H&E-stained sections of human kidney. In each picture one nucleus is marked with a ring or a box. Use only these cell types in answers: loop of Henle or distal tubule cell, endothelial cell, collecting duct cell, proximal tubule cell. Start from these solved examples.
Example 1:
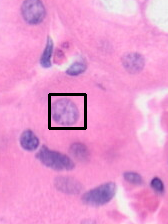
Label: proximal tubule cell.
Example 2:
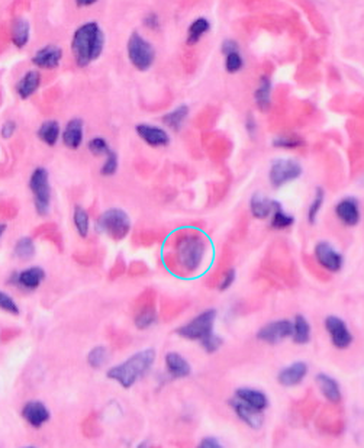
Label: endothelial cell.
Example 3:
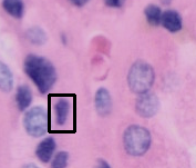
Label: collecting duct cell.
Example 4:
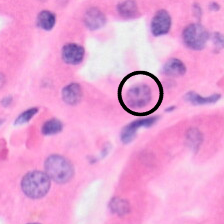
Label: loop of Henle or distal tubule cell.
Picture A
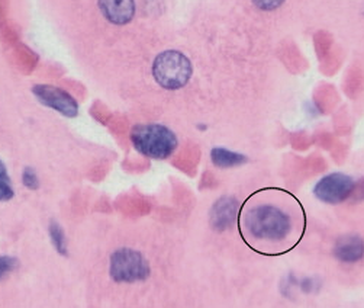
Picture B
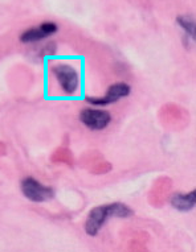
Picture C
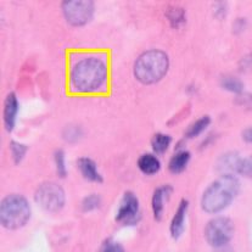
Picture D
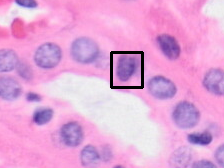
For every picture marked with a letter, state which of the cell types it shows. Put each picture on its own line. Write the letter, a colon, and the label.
A: proximal tubule cell.
B: endothelial cell.
C: proximal tubule cell.
D: collecting duct cell.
